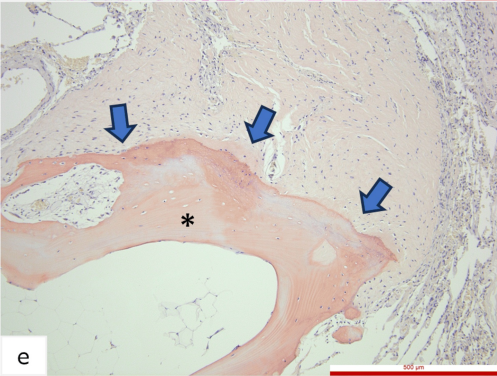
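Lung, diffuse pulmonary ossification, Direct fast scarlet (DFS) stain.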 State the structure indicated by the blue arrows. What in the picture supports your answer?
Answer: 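A dense orange-pink mass borders a paler fibrous layer. Spindle-shaped nuclei are scattered in the pale fibrous tissue right up to the edge of the dense mass. That points to this answer: transition zone from fibroblasts to bone tissue.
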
